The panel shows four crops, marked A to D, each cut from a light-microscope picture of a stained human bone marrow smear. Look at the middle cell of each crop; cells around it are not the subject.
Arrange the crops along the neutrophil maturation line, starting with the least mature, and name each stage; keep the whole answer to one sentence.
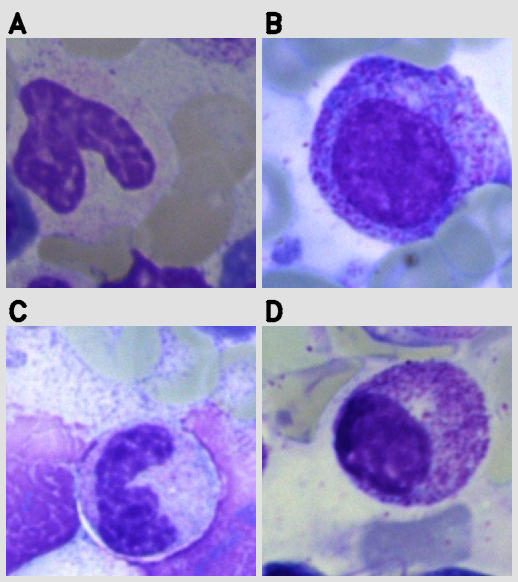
Sequenced by maturity from least to most, the crops are crop B (a promyelocyte), crop D (a myelocyte), crop A (a band neutrophil) and crop C (a segmented neutrophil).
